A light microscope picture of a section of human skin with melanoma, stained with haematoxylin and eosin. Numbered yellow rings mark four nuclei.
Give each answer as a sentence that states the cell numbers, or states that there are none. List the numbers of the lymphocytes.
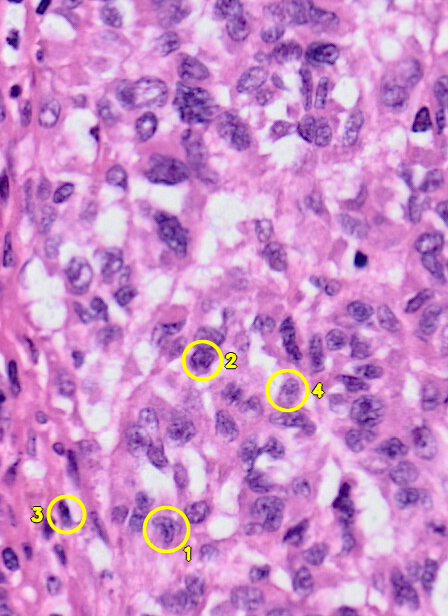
It is only cell 3 that is a lymphocyte among the numbered cells.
